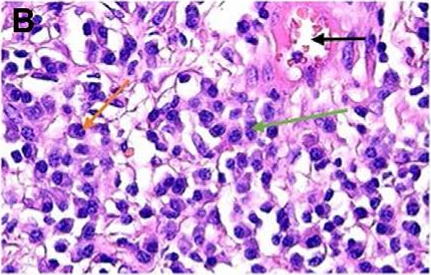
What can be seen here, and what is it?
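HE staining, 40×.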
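A dense infiltrate of plasma cells and lymphocytes fills the tissue, with a small blood vessel containing red cells at the top. The plasma cells have round nuclei pushed to one side of a rim of pink cytoplasm, while the lymphocytes are smaller, round and dark with scant cytoplasm.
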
